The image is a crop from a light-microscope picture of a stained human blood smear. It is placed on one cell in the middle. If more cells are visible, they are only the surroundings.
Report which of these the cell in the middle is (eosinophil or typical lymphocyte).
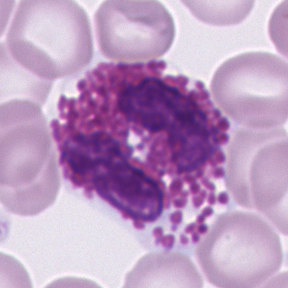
eosinophil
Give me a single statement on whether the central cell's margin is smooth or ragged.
Not smooth, the outline of the cell is ragged or drawn out into projections.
